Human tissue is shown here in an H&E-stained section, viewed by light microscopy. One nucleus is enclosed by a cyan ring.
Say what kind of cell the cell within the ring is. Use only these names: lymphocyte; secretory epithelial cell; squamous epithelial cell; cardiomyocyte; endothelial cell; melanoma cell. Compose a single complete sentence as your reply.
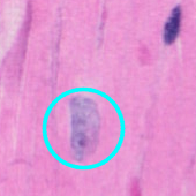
Within this tissue, the cell within the ring is a cardiomyocyte.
